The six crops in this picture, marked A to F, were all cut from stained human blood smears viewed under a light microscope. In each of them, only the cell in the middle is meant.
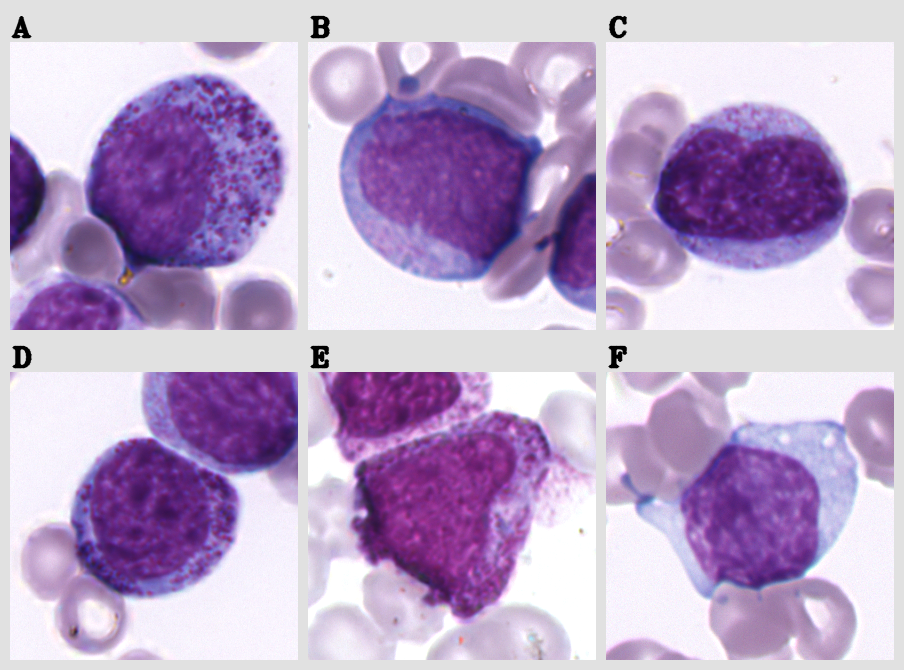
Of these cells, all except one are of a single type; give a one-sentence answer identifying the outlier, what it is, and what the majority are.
In this set, all crops show promyelocytes apart from crop F, which is a myeloblast.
